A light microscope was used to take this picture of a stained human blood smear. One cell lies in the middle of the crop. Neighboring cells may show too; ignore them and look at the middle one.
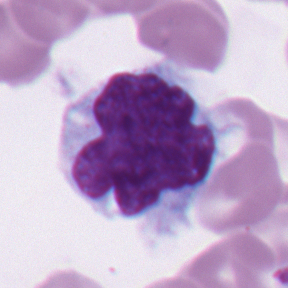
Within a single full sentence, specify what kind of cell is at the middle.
What the crop centres on is a monocyte.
